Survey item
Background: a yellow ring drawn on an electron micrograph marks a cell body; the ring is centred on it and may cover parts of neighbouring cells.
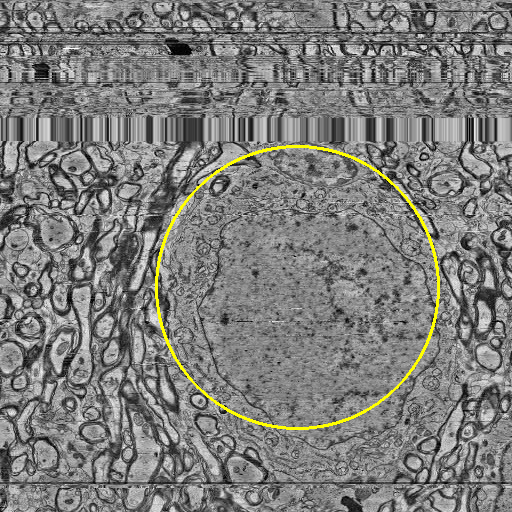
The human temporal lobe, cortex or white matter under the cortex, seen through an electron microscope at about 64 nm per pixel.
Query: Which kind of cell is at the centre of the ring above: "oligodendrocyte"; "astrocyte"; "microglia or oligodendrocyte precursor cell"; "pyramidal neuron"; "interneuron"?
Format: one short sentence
The cell in the middle of the ring is a pyramidal neuron.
